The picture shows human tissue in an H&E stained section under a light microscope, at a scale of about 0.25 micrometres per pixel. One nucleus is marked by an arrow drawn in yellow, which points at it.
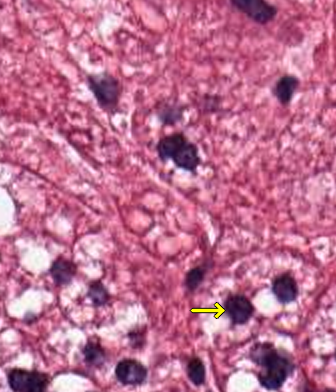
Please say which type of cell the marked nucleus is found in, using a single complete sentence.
The cell that the marked nucleus belongs to is an adrenal cortical cell.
